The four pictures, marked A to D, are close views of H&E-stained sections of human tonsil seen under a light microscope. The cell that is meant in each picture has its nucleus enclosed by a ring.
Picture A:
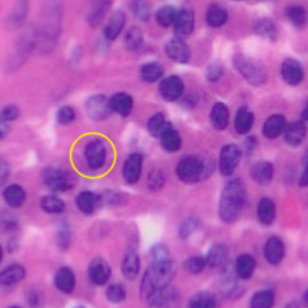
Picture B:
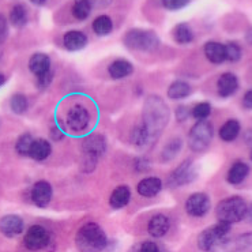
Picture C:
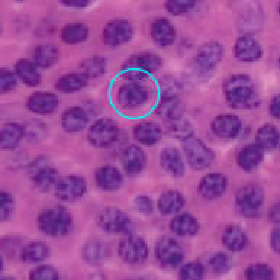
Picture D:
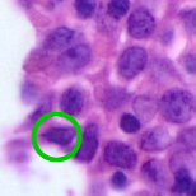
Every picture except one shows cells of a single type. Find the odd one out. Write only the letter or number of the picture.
D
